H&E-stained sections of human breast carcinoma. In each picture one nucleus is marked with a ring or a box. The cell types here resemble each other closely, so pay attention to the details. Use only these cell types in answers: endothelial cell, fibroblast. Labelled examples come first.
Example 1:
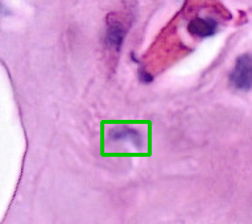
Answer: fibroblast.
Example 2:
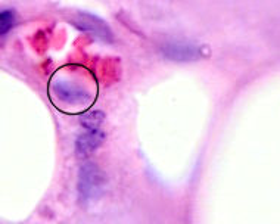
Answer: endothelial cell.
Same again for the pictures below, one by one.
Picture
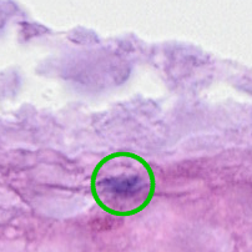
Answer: fibroblast.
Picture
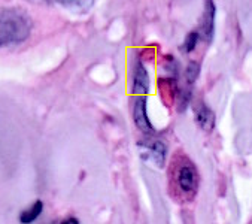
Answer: endothelial cell.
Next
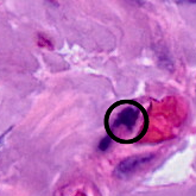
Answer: endothelial cell.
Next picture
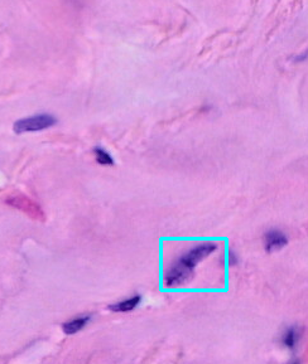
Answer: fibroblast.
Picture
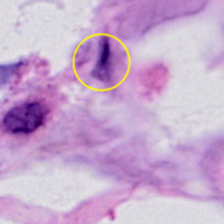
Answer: fibroblast.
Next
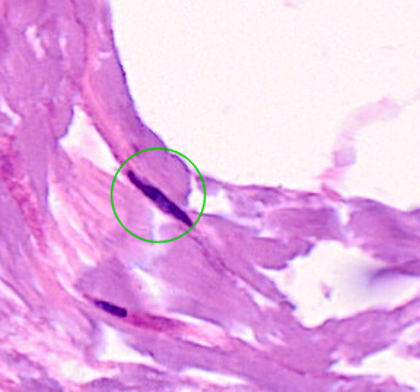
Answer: fibroblast.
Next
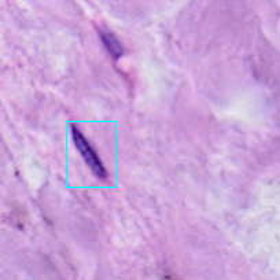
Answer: fibroblast.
